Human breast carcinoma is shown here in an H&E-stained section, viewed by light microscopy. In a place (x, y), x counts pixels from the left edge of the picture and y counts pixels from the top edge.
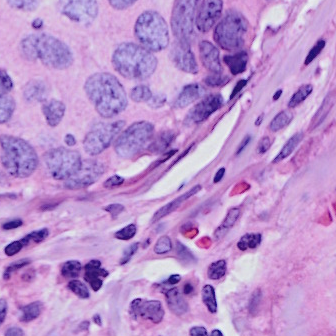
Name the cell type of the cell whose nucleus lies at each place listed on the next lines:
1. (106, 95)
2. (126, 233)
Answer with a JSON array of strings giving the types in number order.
["carcinoma cell", "lymphocyte"]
